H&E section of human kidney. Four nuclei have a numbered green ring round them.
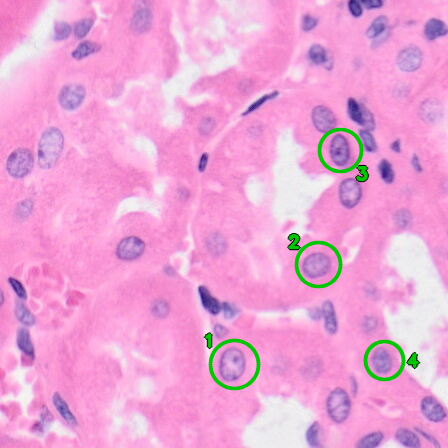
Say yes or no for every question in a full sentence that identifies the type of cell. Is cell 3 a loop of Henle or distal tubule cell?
No, as for cell 3, it is a proximal tubule cell and not a loop of Henle or distal tubule cell.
